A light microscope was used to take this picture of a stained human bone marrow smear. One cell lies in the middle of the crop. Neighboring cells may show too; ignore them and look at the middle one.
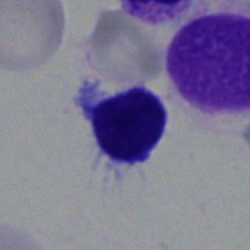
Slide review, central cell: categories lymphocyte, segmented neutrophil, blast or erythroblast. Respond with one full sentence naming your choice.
The cell marked by its central position in the crop is a lymphocyte.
